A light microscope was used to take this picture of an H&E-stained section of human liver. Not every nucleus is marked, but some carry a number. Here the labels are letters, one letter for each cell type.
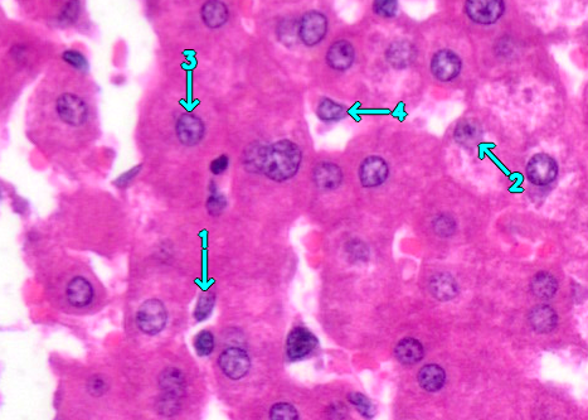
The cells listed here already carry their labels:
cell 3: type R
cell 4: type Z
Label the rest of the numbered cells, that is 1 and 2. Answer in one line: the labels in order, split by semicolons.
type Z; type R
